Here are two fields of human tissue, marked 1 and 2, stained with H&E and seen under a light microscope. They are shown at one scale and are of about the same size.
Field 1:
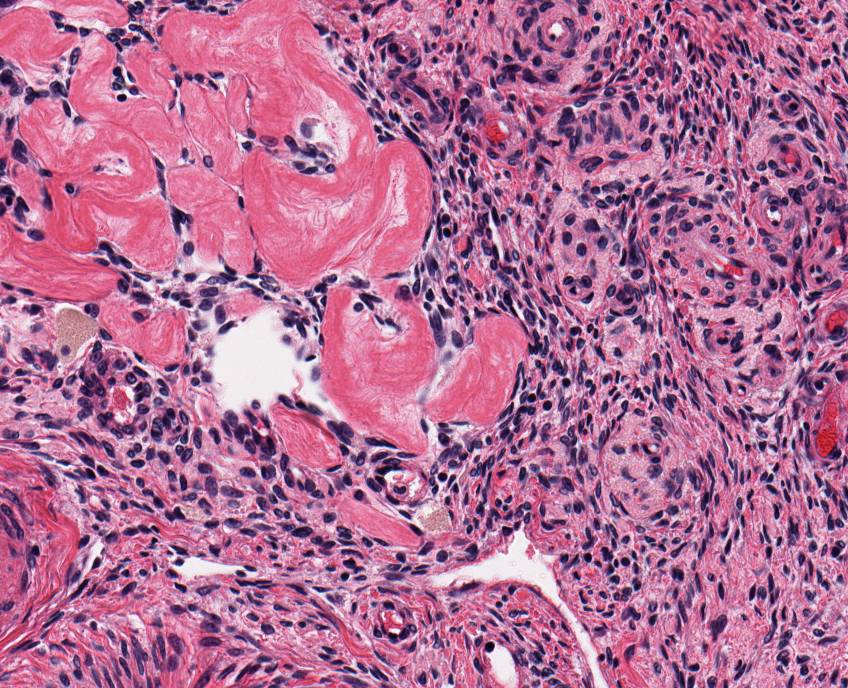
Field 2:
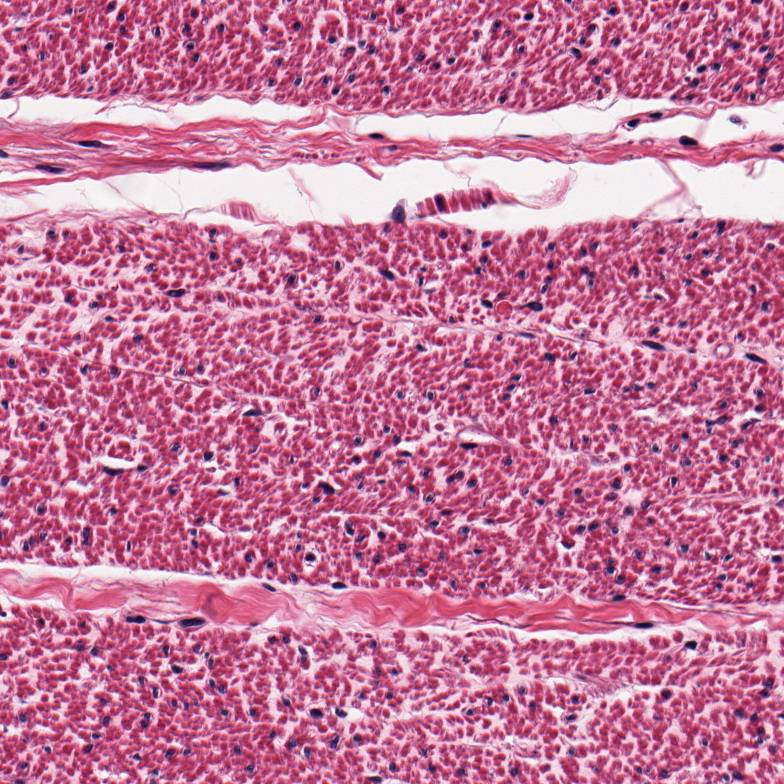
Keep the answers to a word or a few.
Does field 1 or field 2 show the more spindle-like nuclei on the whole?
1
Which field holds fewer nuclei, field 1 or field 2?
2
